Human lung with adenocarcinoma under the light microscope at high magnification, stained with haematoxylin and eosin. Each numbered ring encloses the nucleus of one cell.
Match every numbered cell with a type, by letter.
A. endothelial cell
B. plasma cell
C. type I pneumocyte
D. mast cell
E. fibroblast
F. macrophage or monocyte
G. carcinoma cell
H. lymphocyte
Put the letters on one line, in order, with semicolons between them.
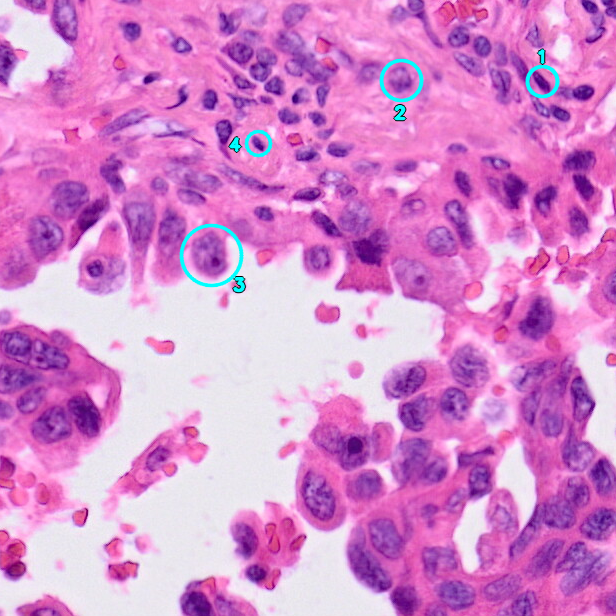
B; B; G; H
